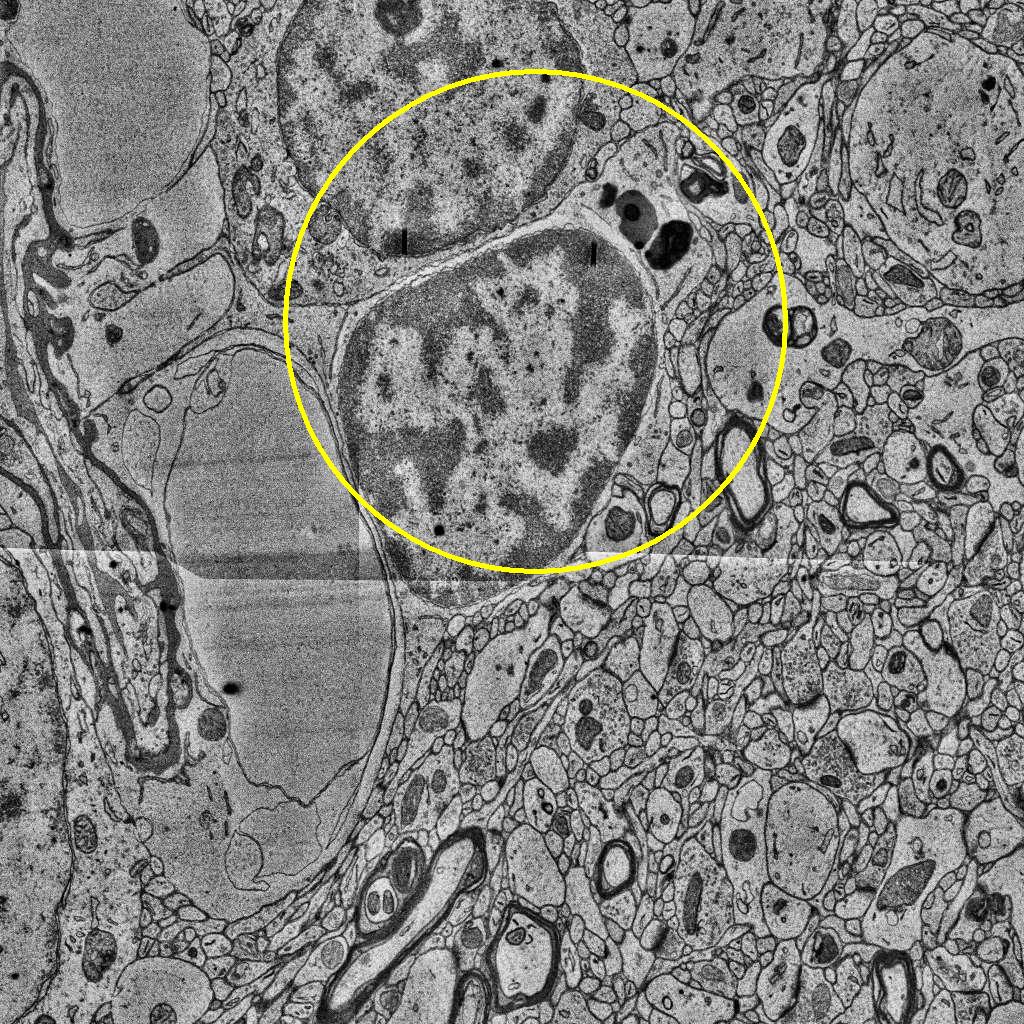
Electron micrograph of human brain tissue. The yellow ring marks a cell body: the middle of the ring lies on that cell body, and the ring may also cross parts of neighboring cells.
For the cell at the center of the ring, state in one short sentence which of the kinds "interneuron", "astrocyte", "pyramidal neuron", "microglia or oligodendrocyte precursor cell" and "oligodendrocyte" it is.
This ring's center lies on a microglial cell or oligodendrocyte precursor cell.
